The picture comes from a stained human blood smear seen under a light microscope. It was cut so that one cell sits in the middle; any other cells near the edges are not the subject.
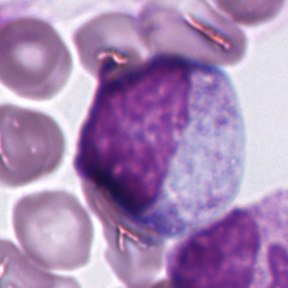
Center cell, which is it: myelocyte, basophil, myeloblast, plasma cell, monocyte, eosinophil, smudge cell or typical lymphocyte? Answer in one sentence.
The middle cell in this particular crop is a myelocyte.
